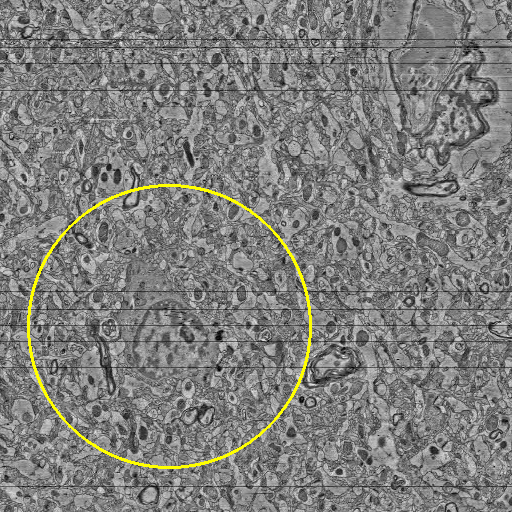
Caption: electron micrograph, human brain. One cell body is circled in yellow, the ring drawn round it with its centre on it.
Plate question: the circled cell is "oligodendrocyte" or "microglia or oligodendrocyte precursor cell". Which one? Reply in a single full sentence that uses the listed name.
The yellow ring on the plate is centred on an oligodendrocyte, going by the listed names.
